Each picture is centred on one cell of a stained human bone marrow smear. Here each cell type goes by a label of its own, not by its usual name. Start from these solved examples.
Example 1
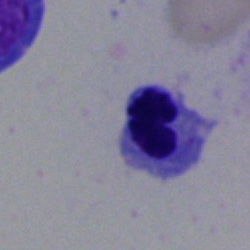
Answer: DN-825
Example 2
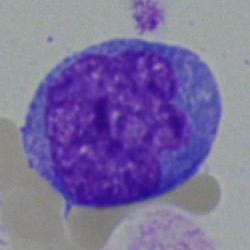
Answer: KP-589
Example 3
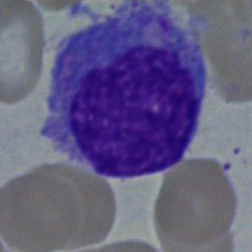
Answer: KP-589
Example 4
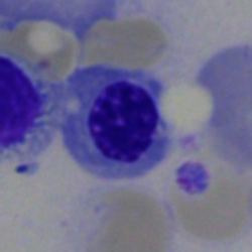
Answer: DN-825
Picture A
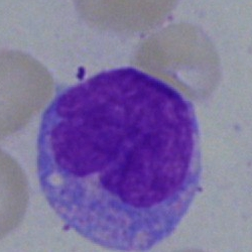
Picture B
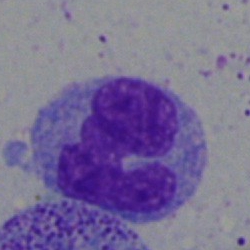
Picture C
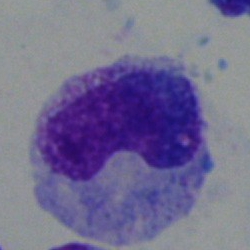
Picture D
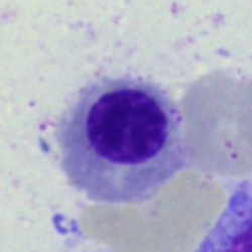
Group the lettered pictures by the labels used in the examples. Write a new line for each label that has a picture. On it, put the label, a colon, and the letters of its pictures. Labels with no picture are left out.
DN-825: D
KP-589: A, B, C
